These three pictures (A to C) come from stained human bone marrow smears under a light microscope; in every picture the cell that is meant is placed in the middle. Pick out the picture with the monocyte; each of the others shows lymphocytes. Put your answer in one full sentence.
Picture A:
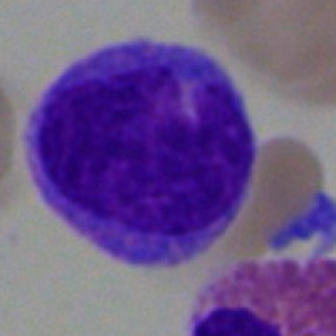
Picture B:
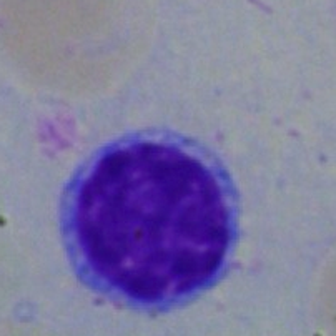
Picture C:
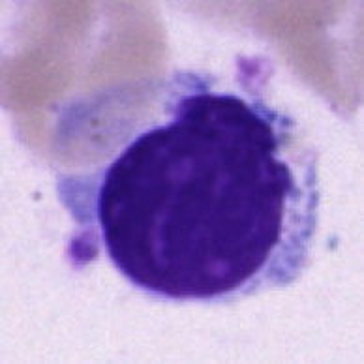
Picture A shows the monocyte.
